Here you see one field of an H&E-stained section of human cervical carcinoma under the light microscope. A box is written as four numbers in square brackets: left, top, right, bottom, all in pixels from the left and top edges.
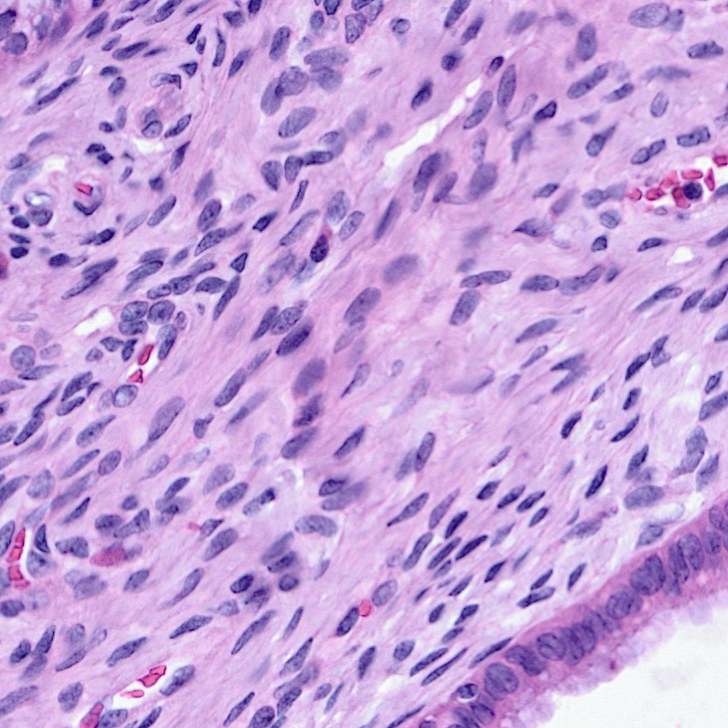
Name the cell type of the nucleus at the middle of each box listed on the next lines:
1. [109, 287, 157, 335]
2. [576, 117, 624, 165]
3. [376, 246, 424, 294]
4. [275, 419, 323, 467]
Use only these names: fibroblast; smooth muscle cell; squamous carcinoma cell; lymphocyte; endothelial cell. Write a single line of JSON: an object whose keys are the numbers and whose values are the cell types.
{"1": "endothelial cell", "2": "fibroblast", "3": "fibroblast", "4": "fibroblast"}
